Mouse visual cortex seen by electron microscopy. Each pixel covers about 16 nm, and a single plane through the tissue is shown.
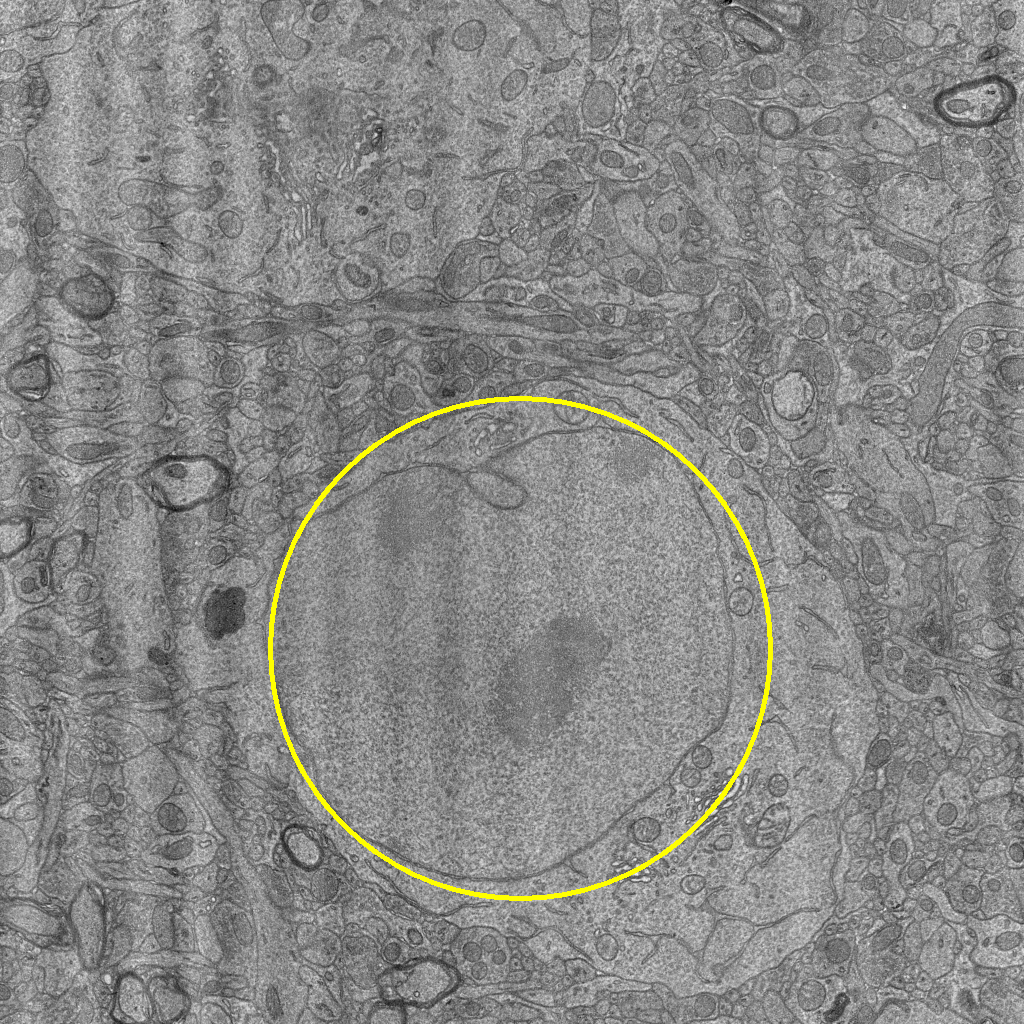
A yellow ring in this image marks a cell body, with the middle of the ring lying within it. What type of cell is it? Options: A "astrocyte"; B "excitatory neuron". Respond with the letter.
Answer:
B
